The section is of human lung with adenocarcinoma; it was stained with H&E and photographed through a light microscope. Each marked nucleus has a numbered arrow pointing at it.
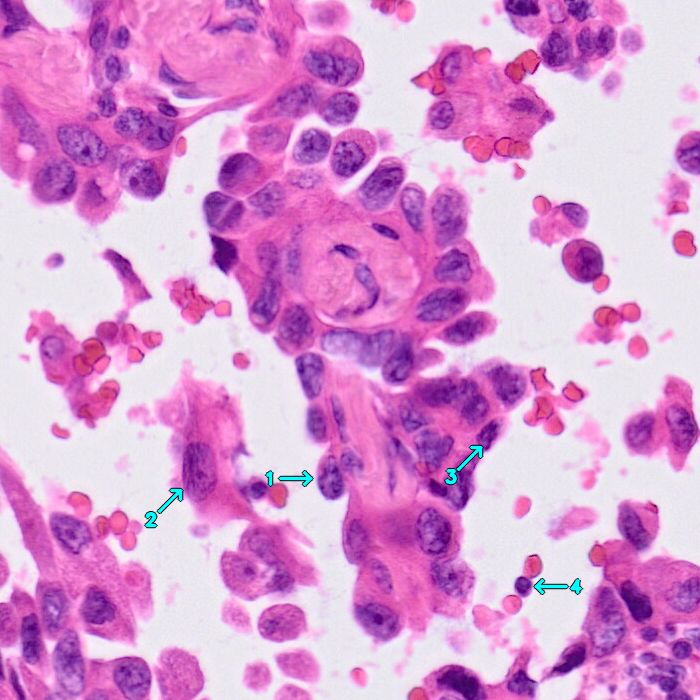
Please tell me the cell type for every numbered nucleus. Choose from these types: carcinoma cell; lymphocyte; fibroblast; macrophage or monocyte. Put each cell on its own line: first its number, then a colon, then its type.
1: carcinoma cell
2: carcinoma cell
3: carcinoma cell
4: lymphocyte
